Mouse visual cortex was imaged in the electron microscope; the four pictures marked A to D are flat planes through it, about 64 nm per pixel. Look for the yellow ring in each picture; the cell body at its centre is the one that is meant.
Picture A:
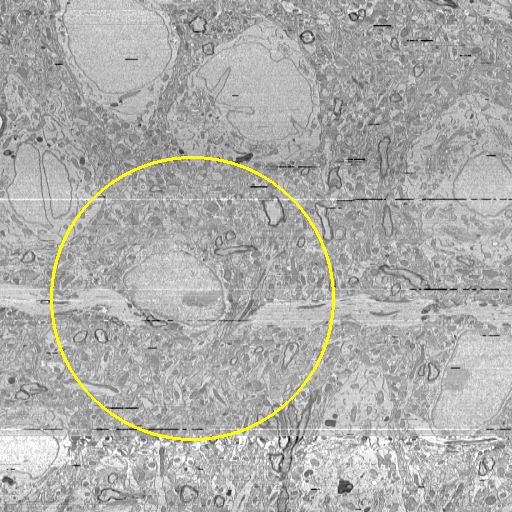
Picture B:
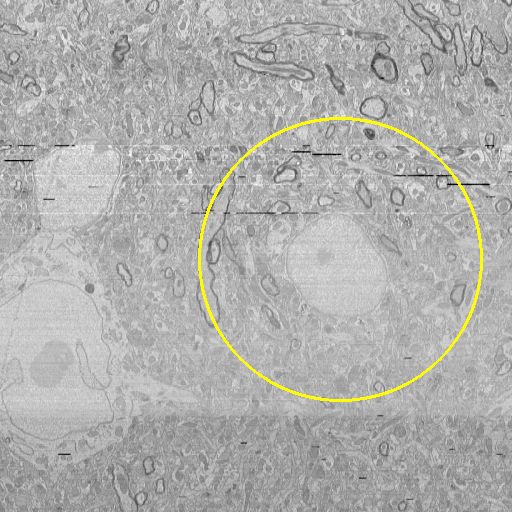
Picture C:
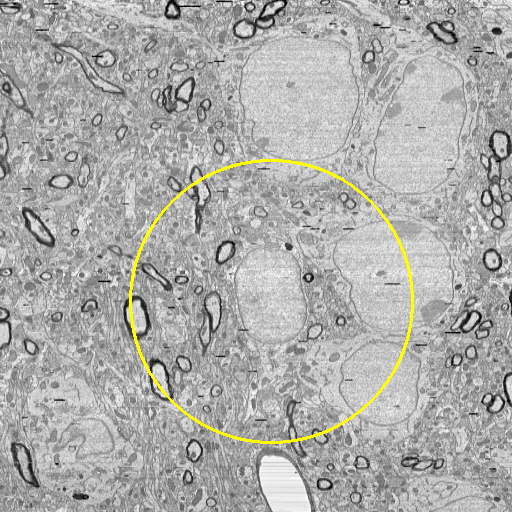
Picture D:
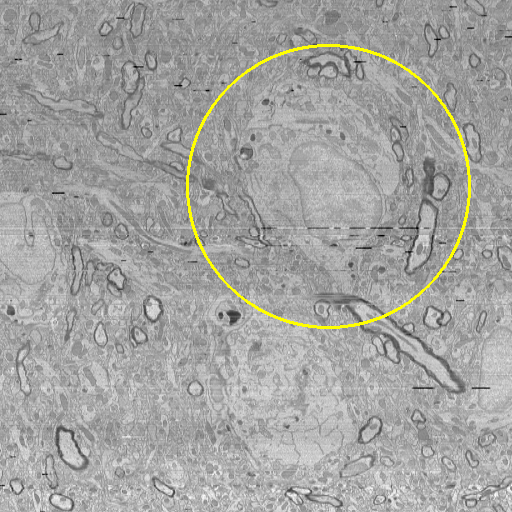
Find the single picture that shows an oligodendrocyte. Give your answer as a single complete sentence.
Picture D shows the oligodendrocyte.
